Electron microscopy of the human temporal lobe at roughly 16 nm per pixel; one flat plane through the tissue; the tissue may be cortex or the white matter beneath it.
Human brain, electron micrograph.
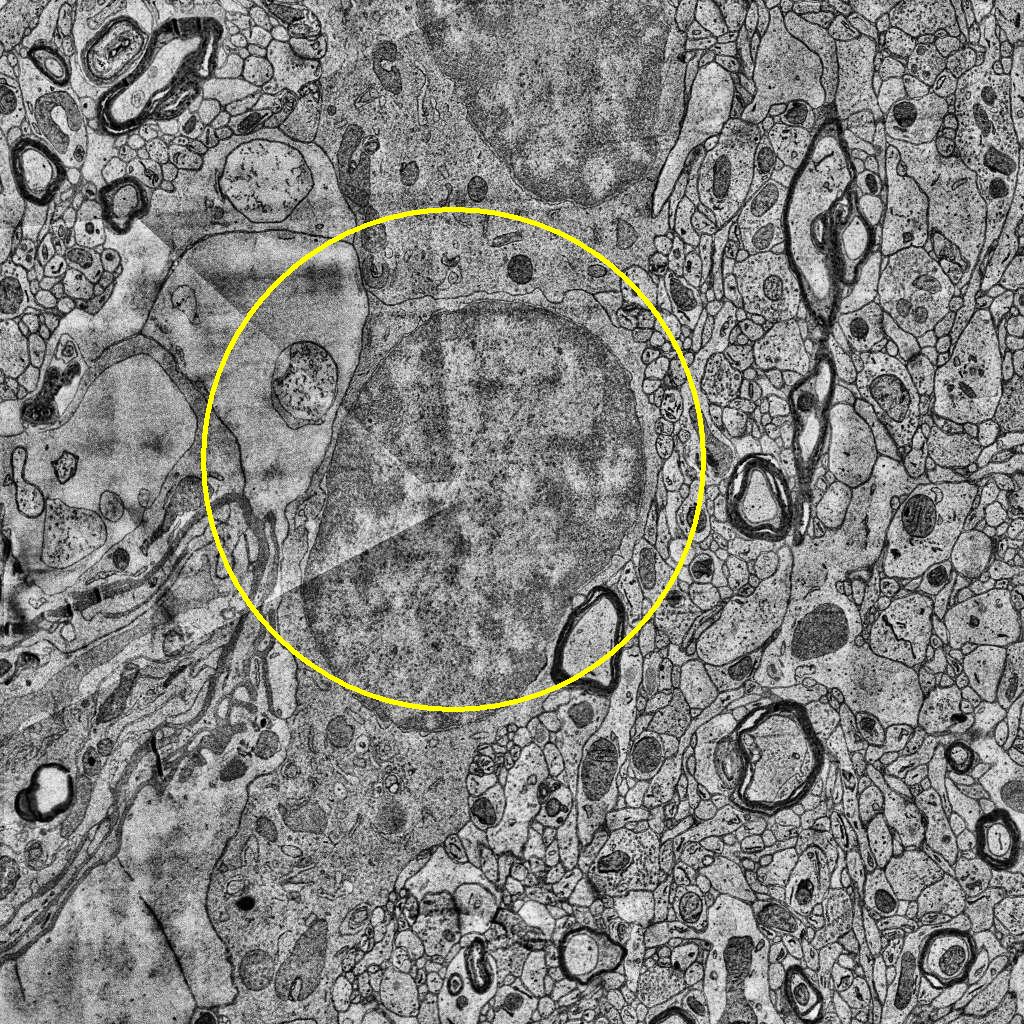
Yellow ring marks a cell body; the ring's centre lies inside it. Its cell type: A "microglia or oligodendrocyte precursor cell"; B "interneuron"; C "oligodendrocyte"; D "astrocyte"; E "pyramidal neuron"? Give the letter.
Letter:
C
